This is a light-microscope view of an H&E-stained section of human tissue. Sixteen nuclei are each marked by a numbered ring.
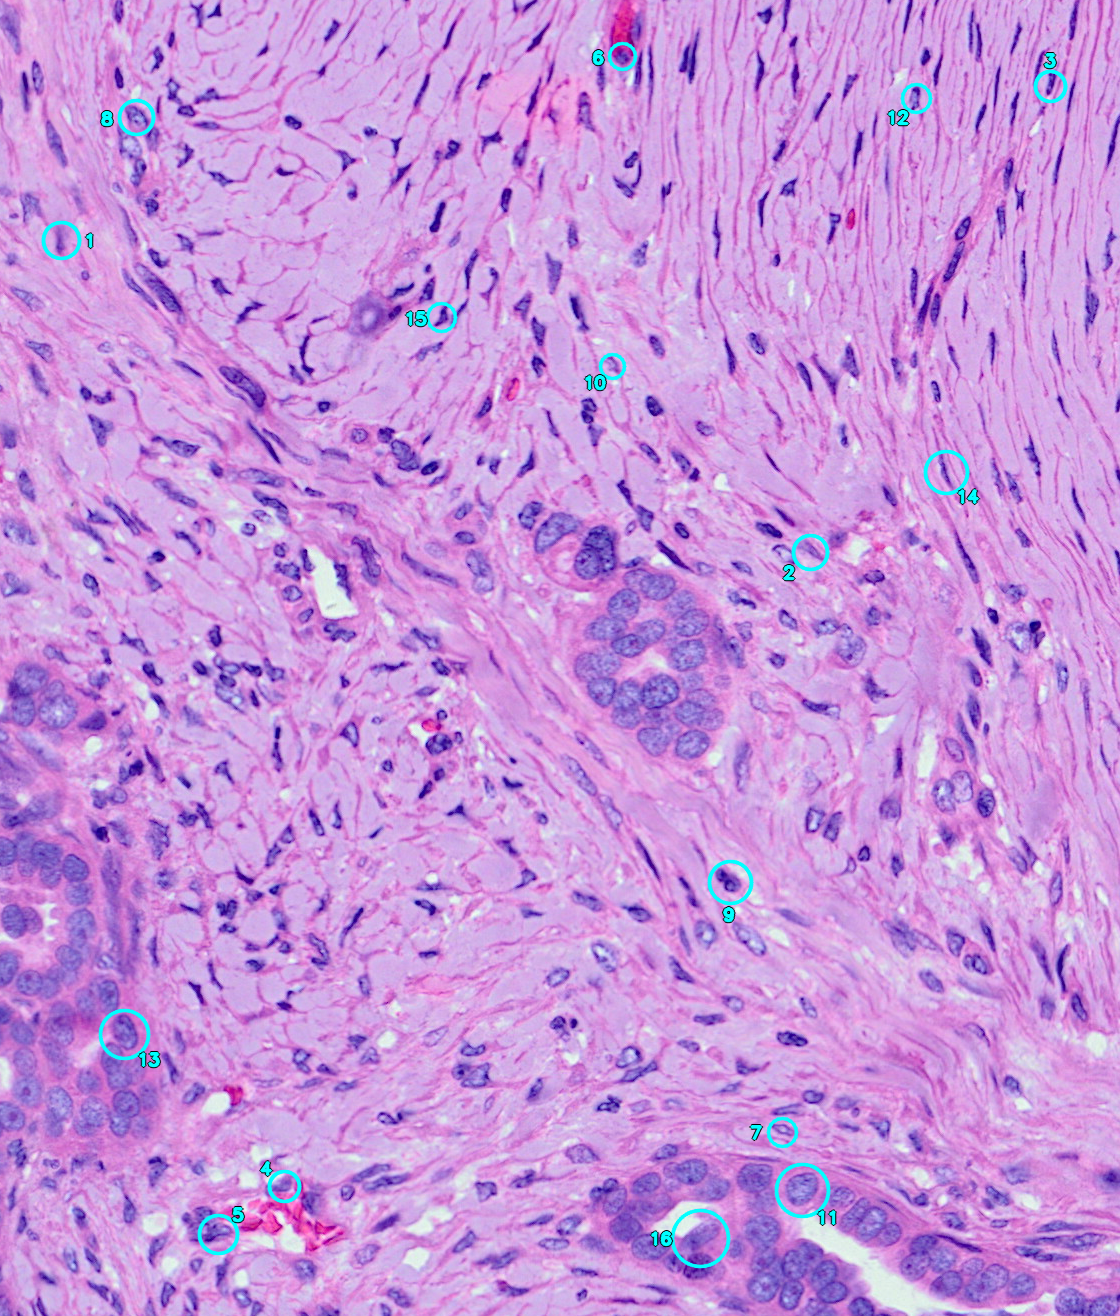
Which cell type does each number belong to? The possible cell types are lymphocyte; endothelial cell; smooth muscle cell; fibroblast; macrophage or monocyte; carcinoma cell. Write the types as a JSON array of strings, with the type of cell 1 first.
["fibroblast", "fibroblast", "fibroblast", "endothelial cell", "endothelial cell", "endothelial cell", "fibroblast", "fibroblast", "lymphocyte", "fibroblast", "carcinoma cell", "fibroblast", "carcinoma cell", "fibroblast", "fibroblast", "carcinoma cell"]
